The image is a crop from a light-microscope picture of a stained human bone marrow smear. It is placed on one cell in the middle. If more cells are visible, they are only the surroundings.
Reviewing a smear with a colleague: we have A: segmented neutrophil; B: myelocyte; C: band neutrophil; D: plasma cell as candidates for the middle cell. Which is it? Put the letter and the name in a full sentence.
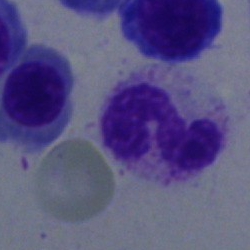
Option A is correct, and the cell in the centre is a segmented neutrophil.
